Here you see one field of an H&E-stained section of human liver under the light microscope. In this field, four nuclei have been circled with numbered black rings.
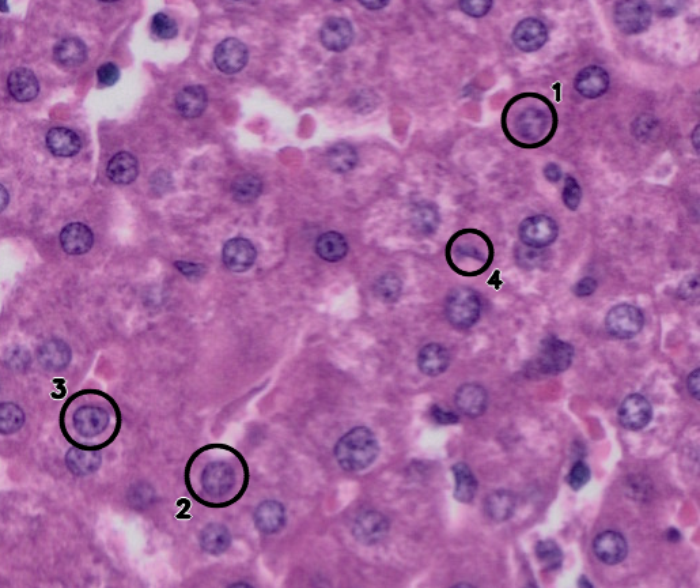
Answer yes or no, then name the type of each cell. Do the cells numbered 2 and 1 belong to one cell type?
Yes, both cells, 2 and 1, are hepatocytes.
